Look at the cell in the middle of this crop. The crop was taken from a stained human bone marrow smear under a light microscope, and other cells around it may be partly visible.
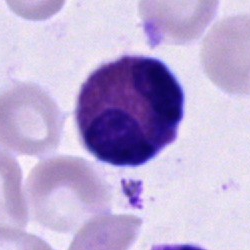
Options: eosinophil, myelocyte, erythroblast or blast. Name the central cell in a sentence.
By type, the central cell of the crop is an eosinophil.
